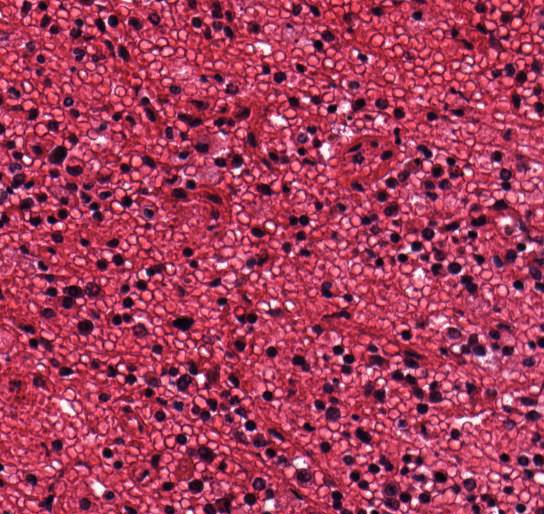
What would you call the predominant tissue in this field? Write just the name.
red pulp of the spleen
